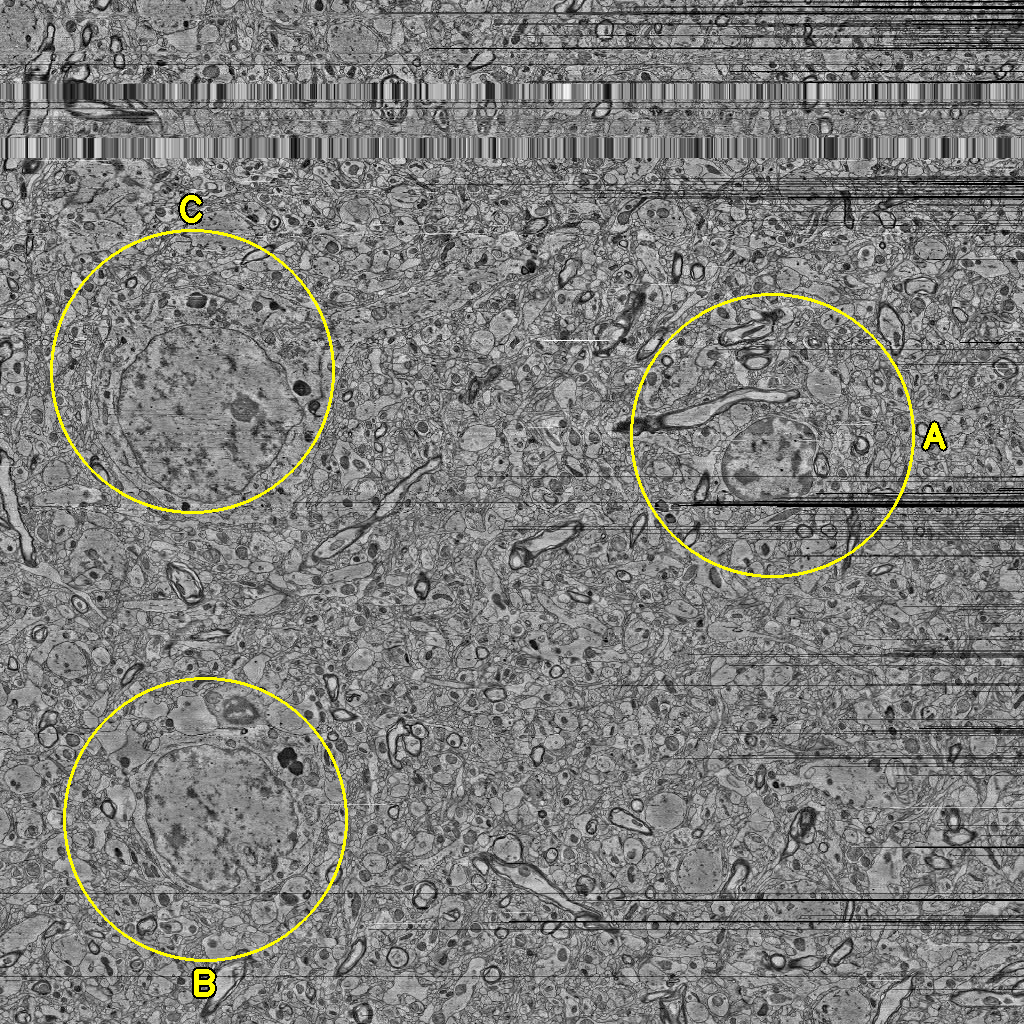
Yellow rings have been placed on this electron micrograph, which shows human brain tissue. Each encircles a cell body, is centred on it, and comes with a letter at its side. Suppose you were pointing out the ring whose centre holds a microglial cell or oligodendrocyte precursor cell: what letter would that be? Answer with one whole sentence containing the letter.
The ring I would point to, centred on the cell in question, is A.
